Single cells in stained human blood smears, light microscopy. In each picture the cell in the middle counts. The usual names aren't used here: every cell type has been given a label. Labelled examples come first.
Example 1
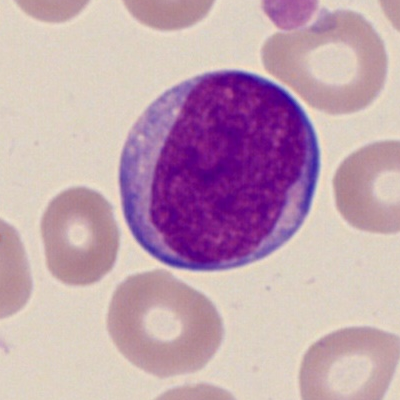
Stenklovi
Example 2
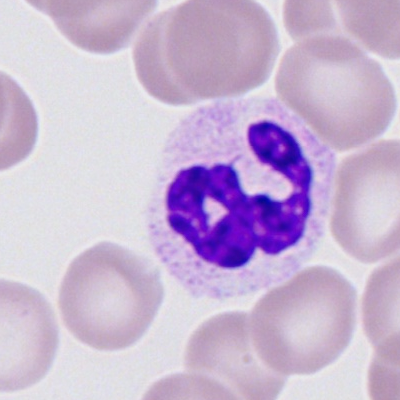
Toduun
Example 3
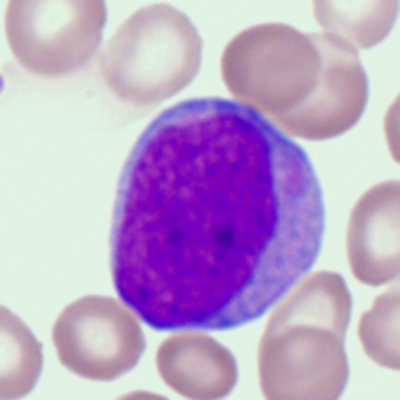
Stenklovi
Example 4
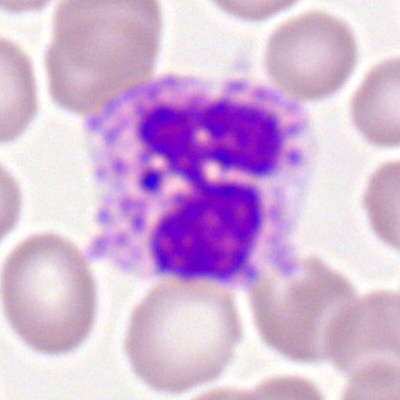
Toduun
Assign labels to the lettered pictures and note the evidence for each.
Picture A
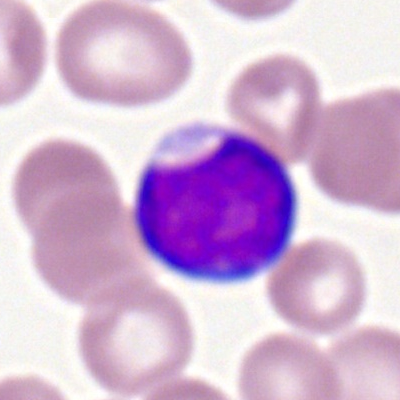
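Stenklovi. Evidence: The cytoplasm is a scant, thin rim of deep blue.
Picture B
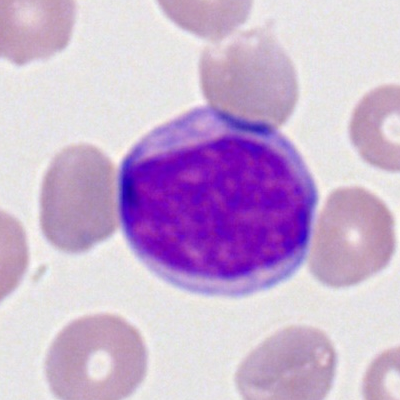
Stenklovi. Evidence: The nucleus fills most of the cell.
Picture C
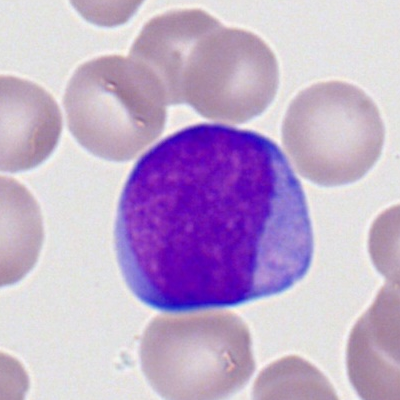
Stenklovi. Evidence: The cytoplasm is stained blue.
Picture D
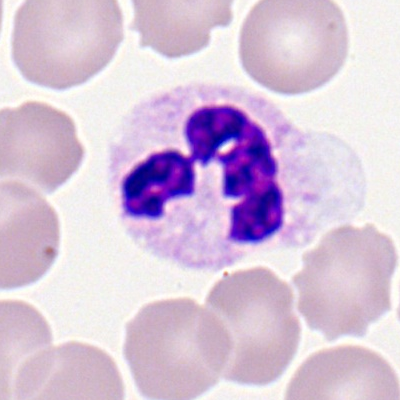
Toduun. Evidence: The cytoplasm is plentiful and pale pinkish-lilac.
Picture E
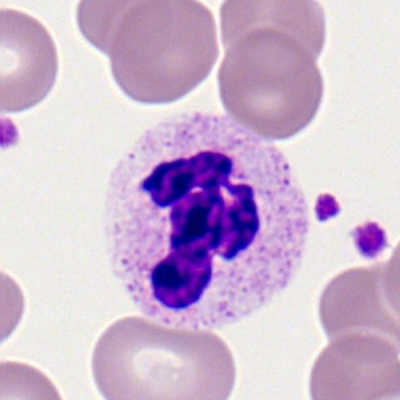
Toduun. Evidence: The nucleus is divided into several connected lobes.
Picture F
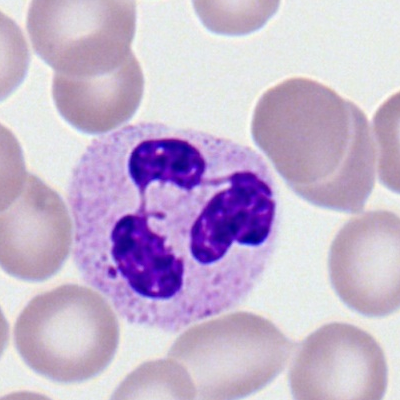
Toduun. Evidence: The cytoplasm is plentiful and pale pinkish-lilac.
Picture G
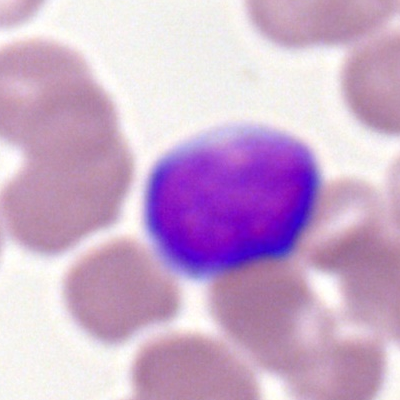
Stenklovi. Evidence: The thin rim of cytoplasm is blue.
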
